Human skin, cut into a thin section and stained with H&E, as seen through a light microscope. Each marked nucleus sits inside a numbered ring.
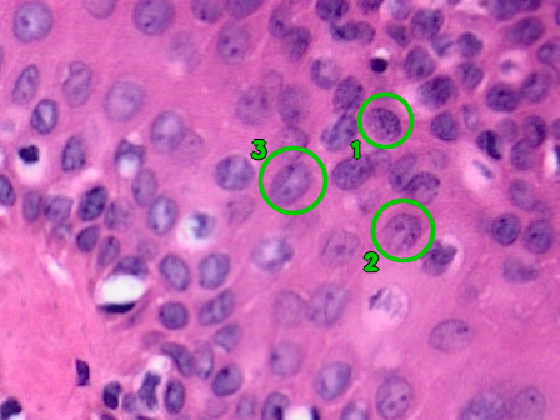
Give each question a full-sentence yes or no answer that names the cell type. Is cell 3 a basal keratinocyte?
No, cell 3 is a suprabasal keratinocyte; it is not a basal keratinocyte.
